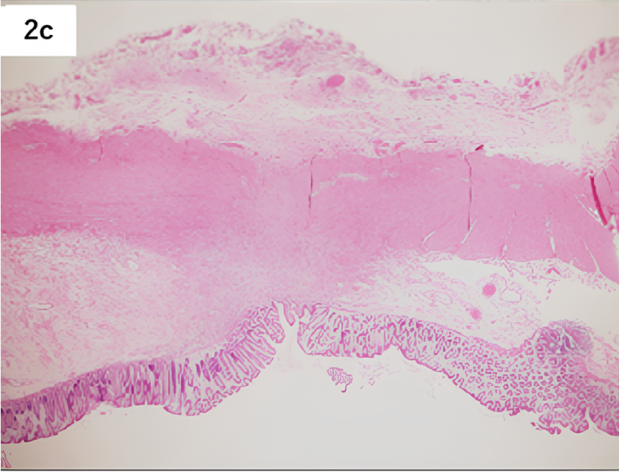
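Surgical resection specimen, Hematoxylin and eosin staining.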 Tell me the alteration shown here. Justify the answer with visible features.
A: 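A broad pale pink band of dense tissue crosses the middle of the section. Glandular mucosa lines the lower edge. No crowded atypical glands or tumor masses are seen.
Answer: a scar without tumor cells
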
